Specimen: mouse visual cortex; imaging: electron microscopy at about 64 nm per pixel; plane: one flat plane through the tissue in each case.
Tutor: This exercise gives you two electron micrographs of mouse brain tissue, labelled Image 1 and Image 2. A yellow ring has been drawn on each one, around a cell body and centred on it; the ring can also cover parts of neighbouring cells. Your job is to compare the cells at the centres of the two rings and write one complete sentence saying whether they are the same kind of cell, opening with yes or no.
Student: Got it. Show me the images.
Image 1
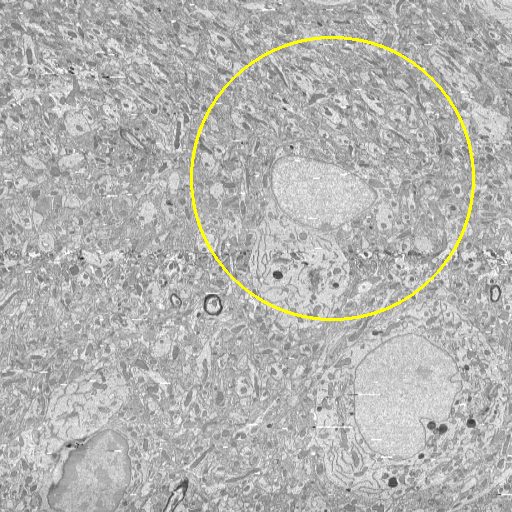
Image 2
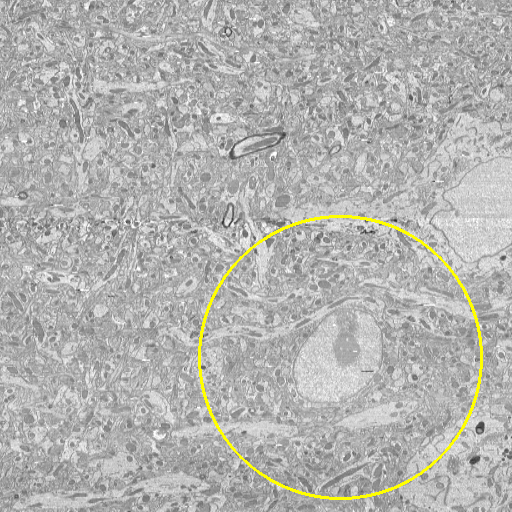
Yes, the two cells belong to the same kind.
